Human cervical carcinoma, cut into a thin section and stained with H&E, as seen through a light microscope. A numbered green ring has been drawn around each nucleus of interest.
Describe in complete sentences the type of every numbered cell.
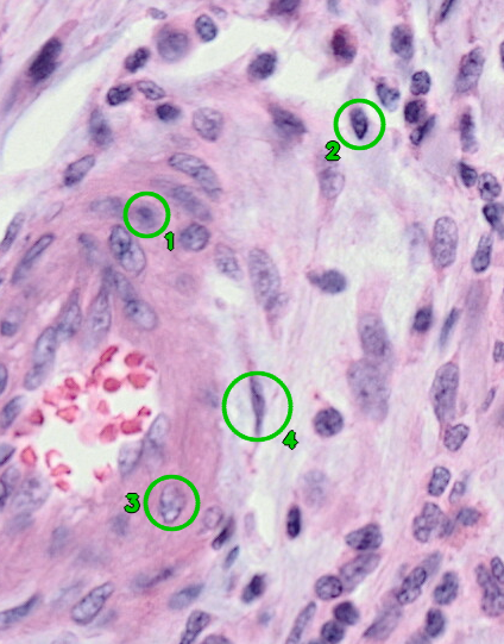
Cell 1 is a smooth muscle cell, cell 2 is a lymphocyte, cell 3 is a smooth muscle cell and cell 4 is a fibroblast.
